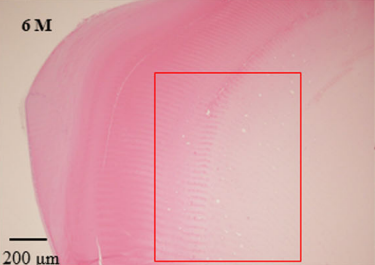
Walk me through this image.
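This section shows the peripheral lens, stained pink. A broad, dense pink outer band of cortex curves along the left side, and inside it lens fibres run in fine parallel rows that fan out into a fringe of narrow strands. Deeper, the tissue becomes pale and less ordered toward the nucleus. A red box outlines part of this zone between the fringed fibres and the pale interior, where small, round, clear spaces are dotted among the fibres, giving a lightly vacuolated appearance. Elsewhere the fibres look regular and tightly packed.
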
